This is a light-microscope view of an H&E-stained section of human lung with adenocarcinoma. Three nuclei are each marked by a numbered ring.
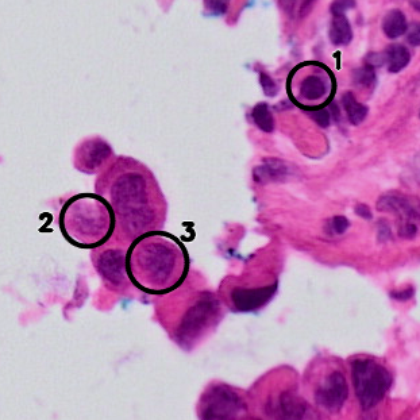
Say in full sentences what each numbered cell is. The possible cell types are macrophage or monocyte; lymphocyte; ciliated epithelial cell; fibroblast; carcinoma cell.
Cell 1 is a lymphocyte. Cells 2 and 3 are carcinoma cells.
